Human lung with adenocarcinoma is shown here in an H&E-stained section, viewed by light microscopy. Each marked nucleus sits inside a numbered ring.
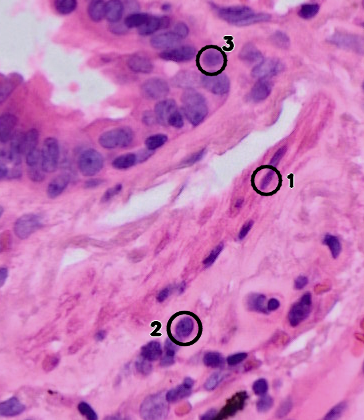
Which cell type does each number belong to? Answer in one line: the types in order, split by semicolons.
smooth muscle cell or pericyte; mast cell; ciliated epithelial cell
